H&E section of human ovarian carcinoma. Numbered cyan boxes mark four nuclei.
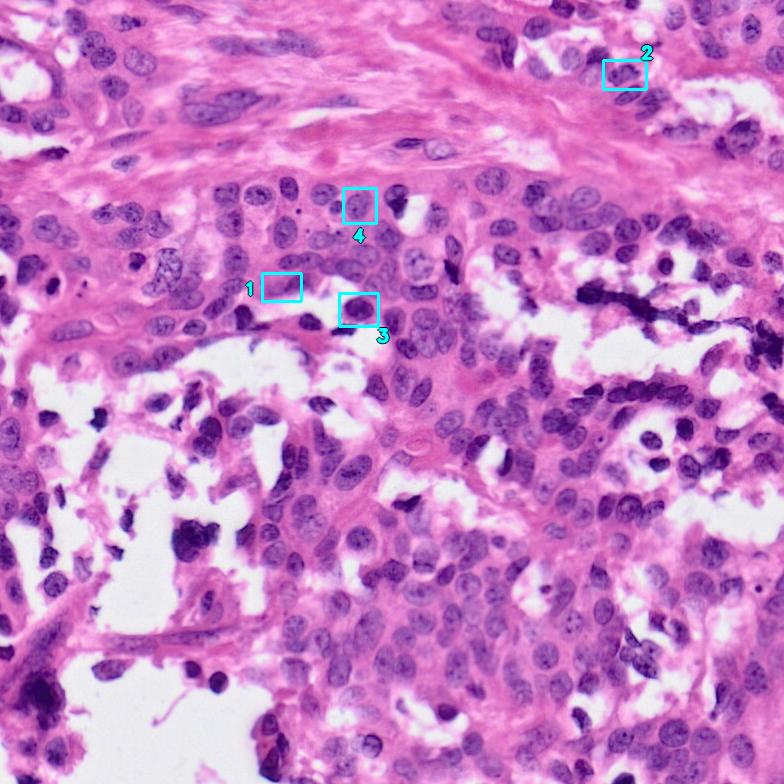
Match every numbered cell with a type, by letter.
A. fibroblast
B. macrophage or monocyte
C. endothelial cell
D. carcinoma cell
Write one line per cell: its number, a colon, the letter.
1: D
2: B
3: D
4: D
